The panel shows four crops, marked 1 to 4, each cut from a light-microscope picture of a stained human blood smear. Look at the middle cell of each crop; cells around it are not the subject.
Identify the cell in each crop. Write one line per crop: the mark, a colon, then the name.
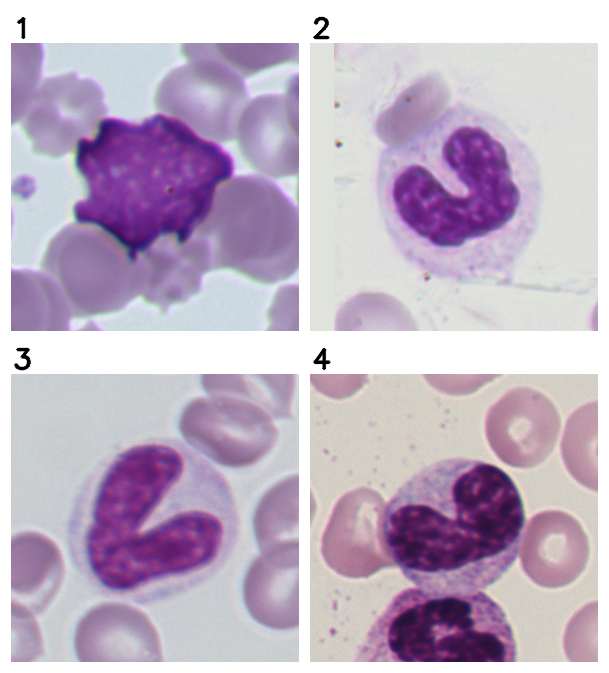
1: smudge cell
2: band neutrophil
3: band neutrophil
4: band neutrophil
